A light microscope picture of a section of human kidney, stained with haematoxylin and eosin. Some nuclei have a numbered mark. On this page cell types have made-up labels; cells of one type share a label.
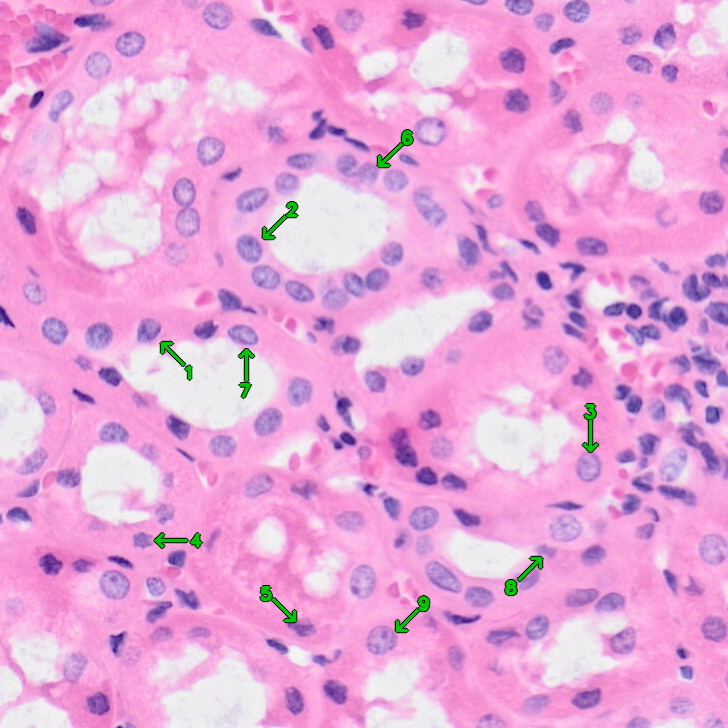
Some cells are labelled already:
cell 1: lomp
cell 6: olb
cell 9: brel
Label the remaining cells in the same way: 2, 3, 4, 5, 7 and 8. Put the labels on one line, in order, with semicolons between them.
olb; brel; lomp; brel; lomp; olb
